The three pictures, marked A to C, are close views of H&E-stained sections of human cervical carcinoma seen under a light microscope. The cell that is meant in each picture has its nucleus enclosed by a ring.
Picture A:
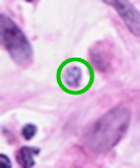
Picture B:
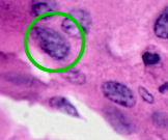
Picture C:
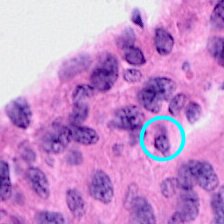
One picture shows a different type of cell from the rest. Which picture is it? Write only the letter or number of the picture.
A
